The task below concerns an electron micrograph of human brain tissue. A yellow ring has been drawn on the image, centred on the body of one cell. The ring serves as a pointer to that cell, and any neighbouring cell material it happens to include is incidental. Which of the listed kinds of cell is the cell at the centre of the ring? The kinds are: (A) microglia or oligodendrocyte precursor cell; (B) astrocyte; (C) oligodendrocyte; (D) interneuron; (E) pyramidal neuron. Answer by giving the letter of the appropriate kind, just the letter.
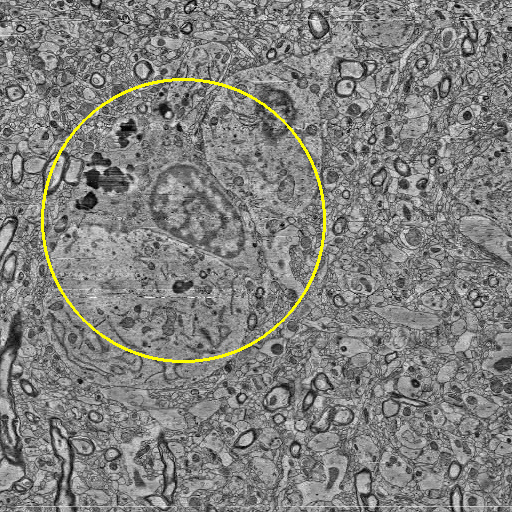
C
